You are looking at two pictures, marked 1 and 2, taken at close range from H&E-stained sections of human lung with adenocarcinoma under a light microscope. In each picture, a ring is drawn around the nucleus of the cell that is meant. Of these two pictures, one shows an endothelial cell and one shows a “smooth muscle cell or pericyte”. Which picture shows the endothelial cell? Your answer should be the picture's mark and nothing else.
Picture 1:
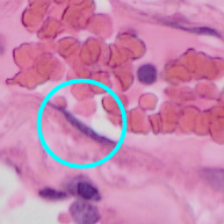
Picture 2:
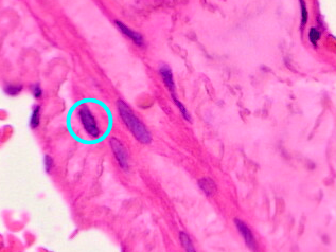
1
